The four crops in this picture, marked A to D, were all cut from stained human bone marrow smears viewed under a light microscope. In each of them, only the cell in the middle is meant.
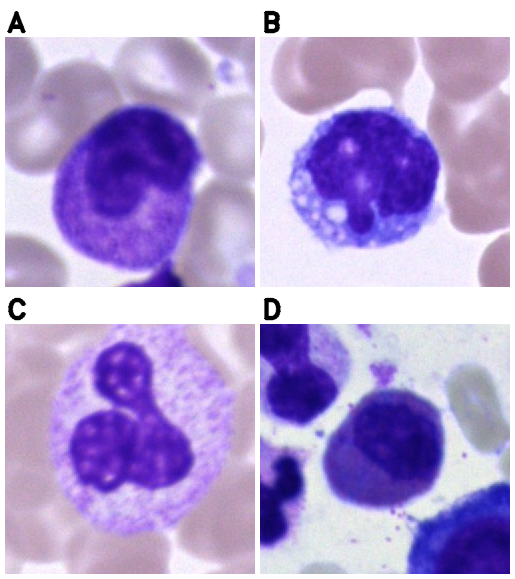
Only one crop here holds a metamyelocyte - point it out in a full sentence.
Among the crops, only crop A contains a metamyelocyte.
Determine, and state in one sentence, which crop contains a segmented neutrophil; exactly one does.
Crop C is identified as the crop showing a segmented neutrophil.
